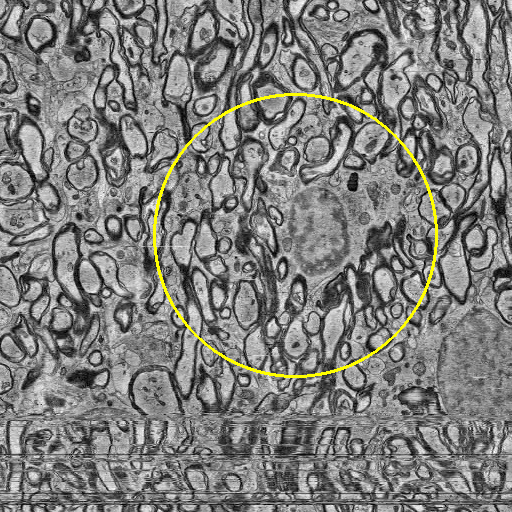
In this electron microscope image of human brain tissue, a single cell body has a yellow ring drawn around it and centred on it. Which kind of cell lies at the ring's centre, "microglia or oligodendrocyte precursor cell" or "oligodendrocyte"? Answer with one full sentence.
It is an oligodendrocyte whose cell body lies at the centre of the yellow ring here.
